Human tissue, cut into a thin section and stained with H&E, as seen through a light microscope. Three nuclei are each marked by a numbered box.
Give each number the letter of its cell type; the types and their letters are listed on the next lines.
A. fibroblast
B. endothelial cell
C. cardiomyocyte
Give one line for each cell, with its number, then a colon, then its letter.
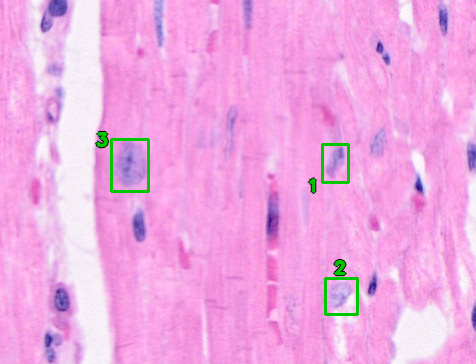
1: B
2: C
3: C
